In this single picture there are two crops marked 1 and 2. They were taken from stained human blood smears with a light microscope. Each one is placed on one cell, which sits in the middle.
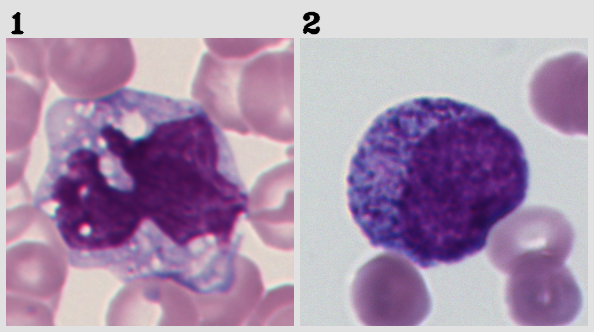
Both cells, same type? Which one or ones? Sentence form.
No, crop 1 corresponds to a monocyte, while crop 2 corresponds to a myelocyte.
